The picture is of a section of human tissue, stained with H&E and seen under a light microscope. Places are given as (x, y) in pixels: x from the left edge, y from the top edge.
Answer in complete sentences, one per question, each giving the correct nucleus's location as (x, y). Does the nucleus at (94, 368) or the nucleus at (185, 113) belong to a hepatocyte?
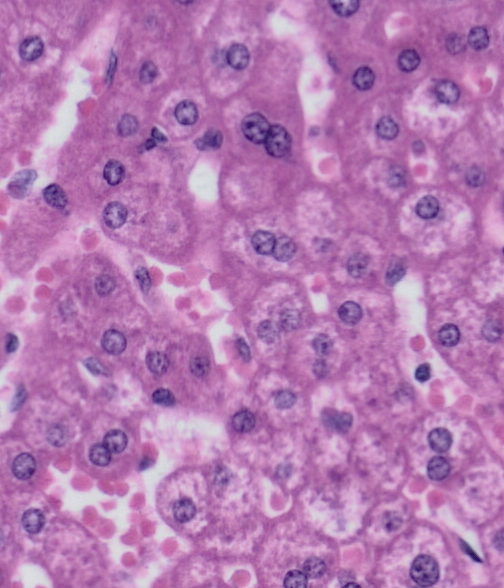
Of the two candidate nuclei, the one at (185, 113) is that of a hepatocyte.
